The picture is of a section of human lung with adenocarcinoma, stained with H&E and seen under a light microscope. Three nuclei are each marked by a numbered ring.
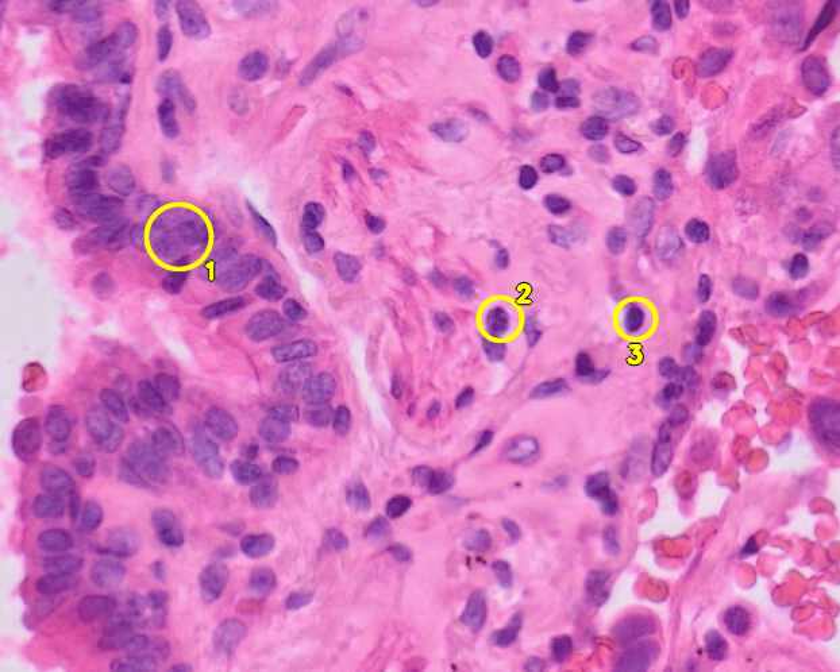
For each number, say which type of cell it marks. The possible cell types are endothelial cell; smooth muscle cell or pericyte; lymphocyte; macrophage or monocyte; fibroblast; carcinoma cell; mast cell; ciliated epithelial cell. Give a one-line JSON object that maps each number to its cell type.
{"1": "ciliated epithelial cell", "2": "lymphocyte", "3": "lymphocyte"}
